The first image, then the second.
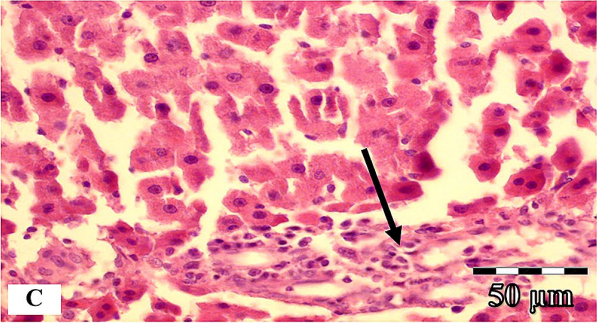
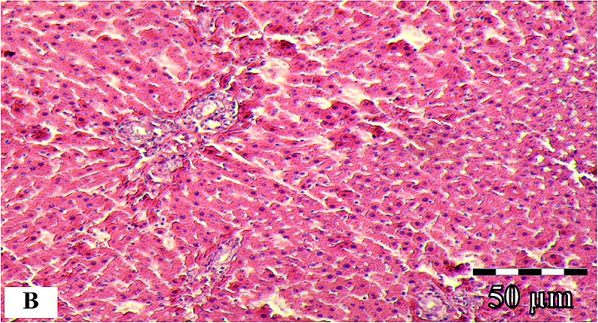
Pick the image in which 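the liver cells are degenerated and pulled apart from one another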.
The first image.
